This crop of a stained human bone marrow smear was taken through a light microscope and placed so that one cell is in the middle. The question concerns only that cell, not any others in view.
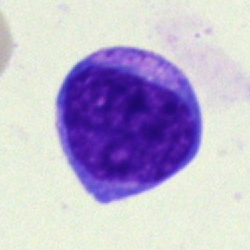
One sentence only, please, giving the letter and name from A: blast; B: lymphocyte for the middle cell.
In this crop the middle cell is a blast, so option A is the correct answer.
